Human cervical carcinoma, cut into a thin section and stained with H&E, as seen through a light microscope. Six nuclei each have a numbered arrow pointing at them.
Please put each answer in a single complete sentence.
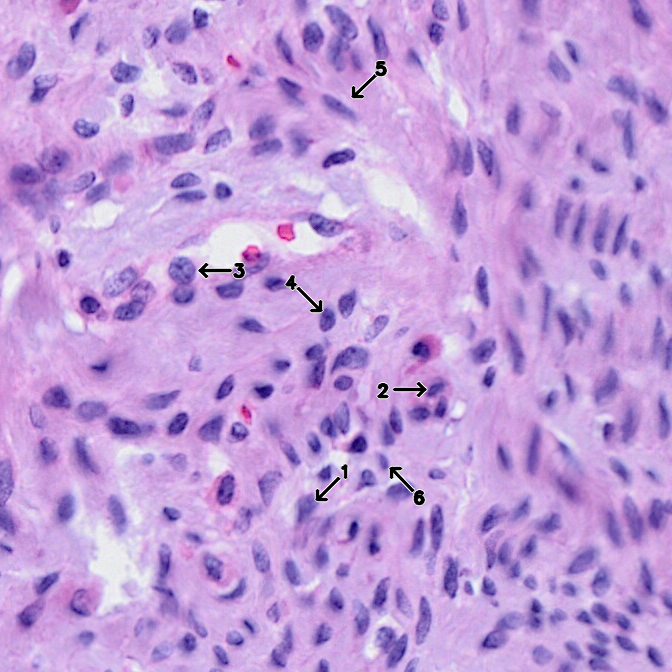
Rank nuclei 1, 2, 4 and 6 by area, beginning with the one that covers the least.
By area, going up from the smallest, they rank 6, 2, 4, 1.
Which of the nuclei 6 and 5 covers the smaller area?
Nucleus 6 is the smaller one; nucleus 5 covers about 3 times its area.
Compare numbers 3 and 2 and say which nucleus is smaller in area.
Number 2 is smaller, since number 3 takes up about 2.5 times as much area.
